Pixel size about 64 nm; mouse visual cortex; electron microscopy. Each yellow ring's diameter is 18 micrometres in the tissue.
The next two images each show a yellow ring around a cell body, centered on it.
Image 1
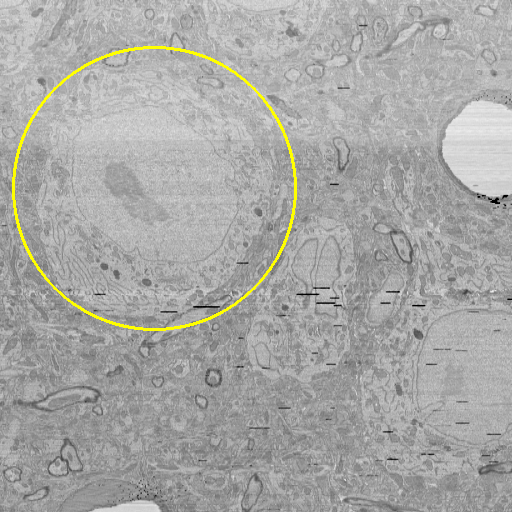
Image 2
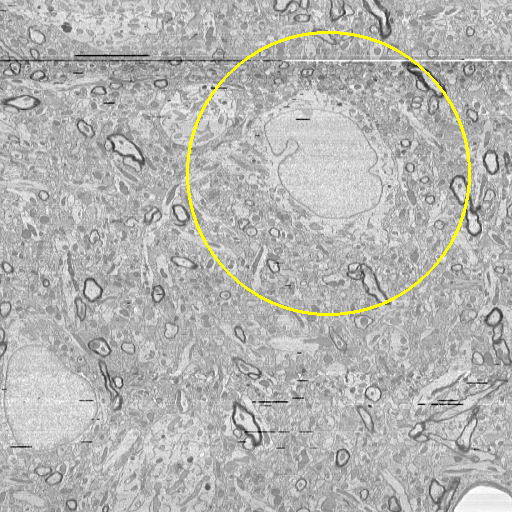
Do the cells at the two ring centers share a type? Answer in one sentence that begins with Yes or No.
Yes, across the two images the cells at the ring centers share one type.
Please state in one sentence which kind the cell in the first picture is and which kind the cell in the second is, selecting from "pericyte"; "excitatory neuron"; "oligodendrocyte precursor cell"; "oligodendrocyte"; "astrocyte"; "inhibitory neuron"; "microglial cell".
Each of the two pictures has an excitatory neuron at the ring centre.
